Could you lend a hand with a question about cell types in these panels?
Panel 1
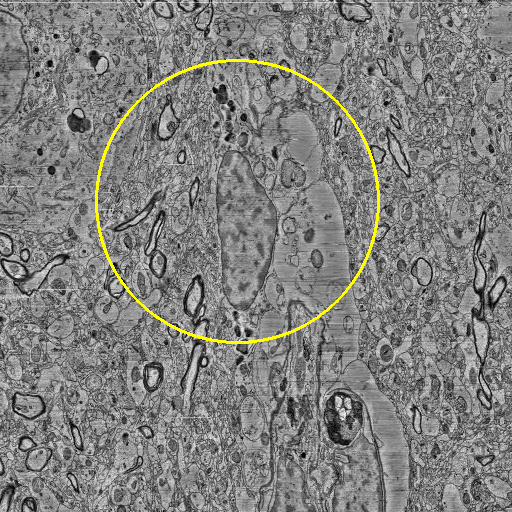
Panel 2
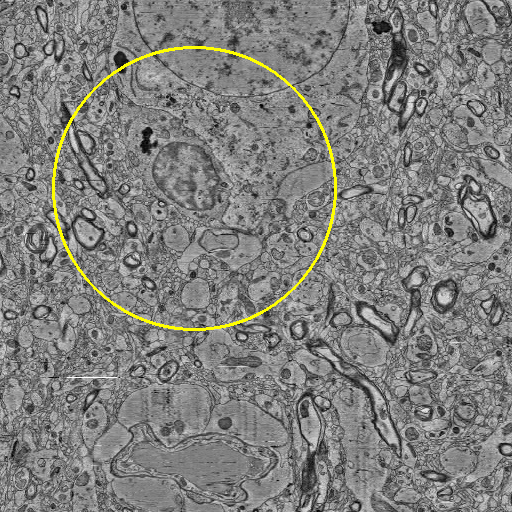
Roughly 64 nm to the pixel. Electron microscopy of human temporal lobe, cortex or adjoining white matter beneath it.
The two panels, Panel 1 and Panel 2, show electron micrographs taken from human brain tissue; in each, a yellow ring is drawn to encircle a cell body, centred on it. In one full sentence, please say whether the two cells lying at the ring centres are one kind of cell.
No, the cells at the ring centres in the two panels are two kinds of cell.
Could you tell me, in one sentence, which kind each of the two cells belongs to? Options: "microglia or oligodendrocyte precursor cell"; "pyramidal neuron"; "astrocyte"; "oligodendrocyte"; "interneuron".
At the centre of the first ring sits a microglial cell or oligodendrocyte precursor cell, and at the centre of the second sits an oligodendrocyte.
